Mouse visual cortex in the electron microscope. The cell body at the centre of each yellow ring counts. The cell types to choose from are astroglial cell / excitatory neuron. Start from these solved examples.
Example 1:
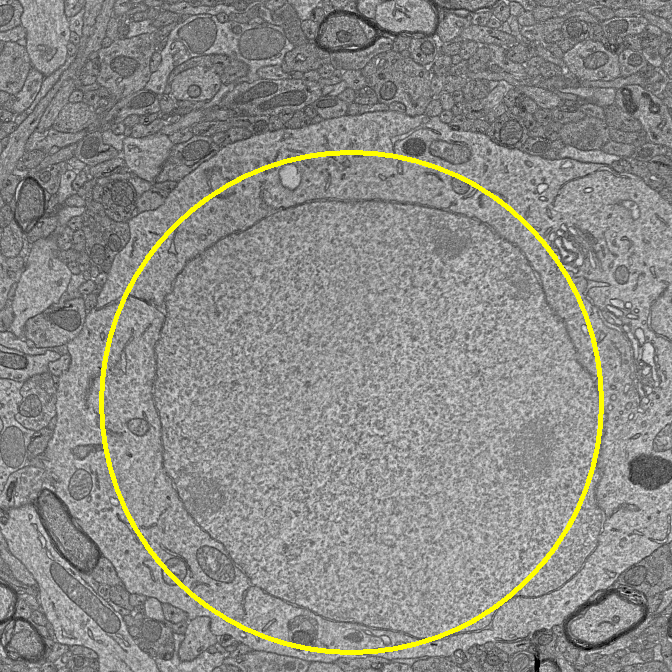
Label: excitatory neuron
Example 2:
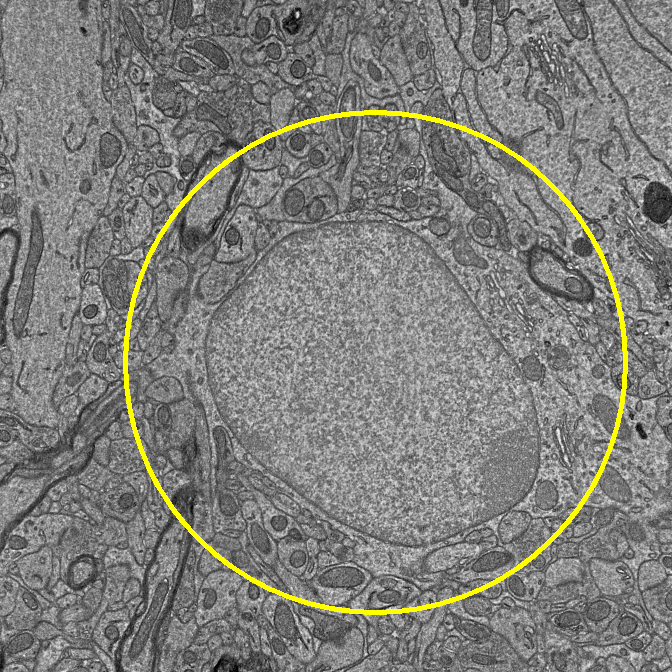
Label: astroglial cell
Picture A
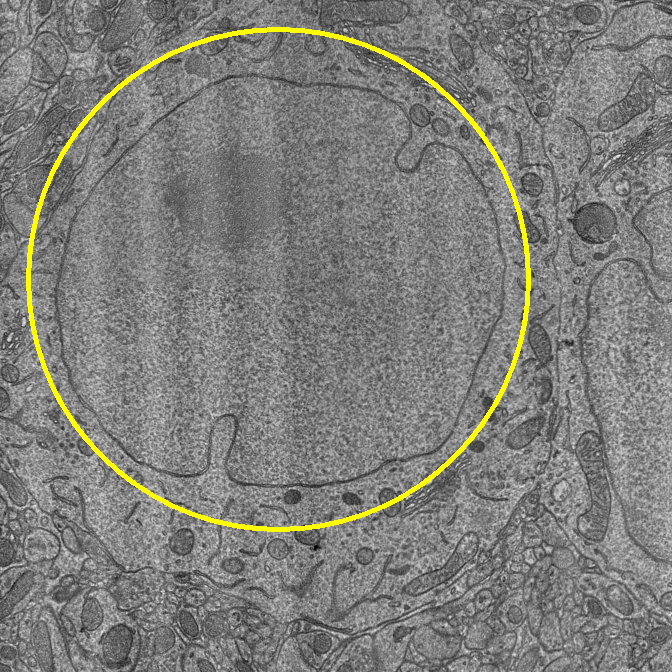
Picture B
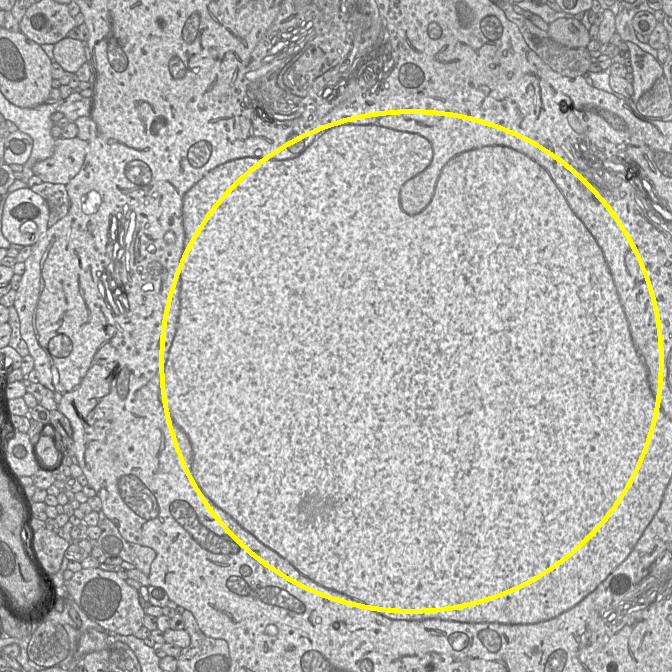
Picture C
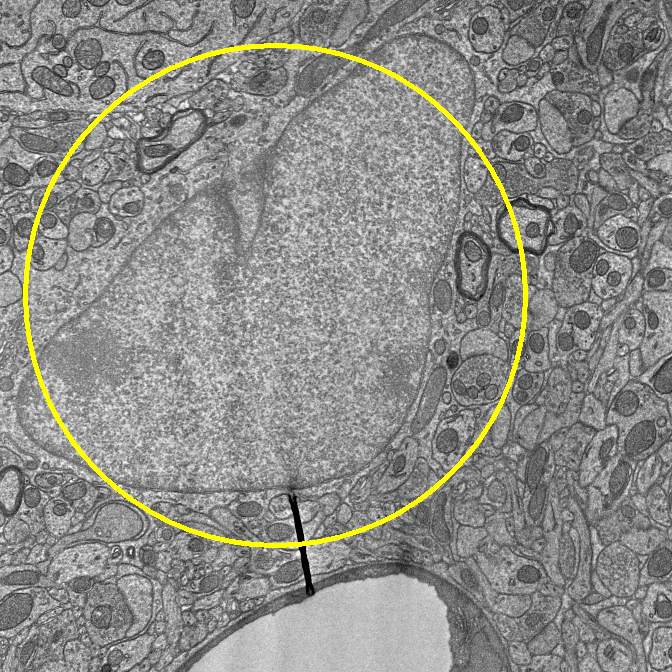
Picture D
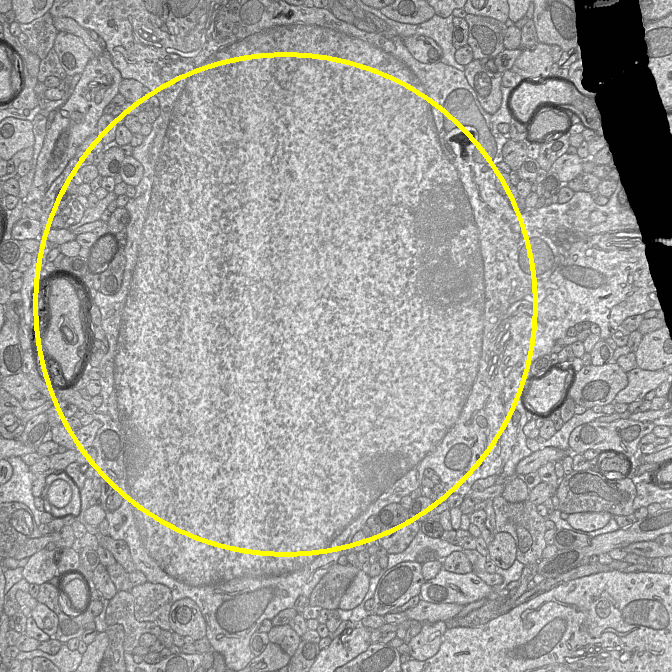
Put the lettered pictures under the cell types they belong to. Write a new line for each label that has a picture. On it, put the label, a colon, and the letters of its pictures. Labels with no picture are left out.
astroglial cell: C, D
excitatory neuron: A, B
